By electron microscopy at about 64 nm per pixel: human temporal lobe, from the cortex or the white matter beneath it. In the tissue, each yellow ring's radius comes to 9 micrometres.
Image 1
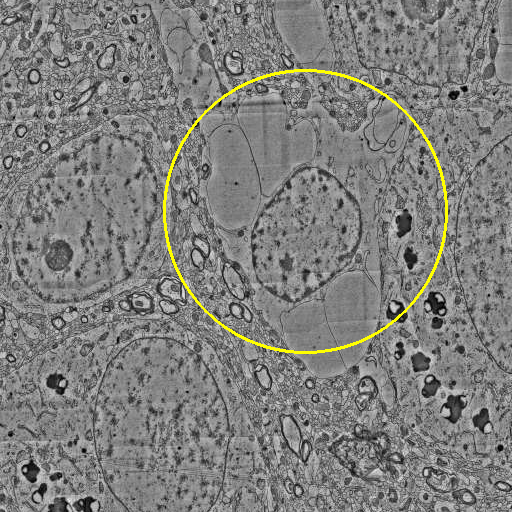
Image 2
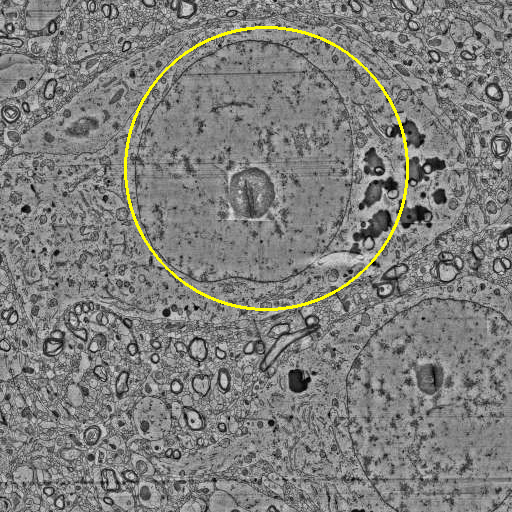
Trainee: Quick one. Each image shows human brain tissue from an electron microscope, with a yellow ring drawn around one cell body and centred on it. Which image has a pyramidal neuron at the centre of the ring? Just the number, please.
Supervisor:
2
